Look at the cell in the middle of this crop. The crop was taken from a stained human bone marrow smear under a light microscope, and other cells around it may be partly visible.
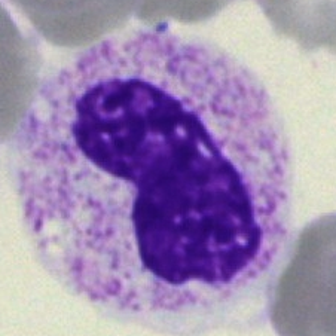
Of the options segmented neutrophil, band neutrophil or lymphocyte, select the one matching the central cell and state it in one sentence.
Framed in the middle of the crop is a band neutrophil.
